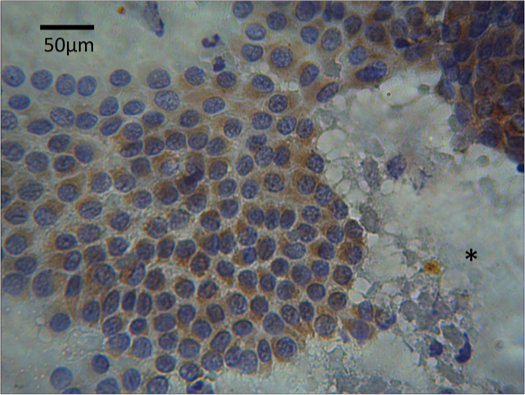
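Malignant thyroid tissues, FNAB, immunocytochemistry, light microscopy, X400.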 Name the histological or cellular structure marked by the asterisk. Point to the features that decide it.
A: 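Colloid. The asterisk lies in pale, cell-free, amorphous material beside the cell sheet.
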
